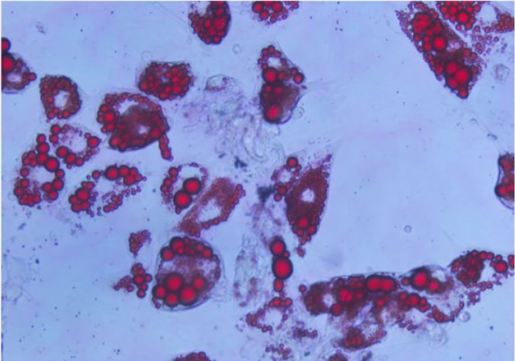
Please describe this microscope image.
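The droplets vary widely in size, from small beads ringing the cell margin to large spheres that fill much of the cytoplasm. Some cells hold a few large droplets, while others contain clusters of many small ones. Between the droplet-laden cells lie pale, faintly outlined cells with little or no red staining. The background is pale blue.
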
